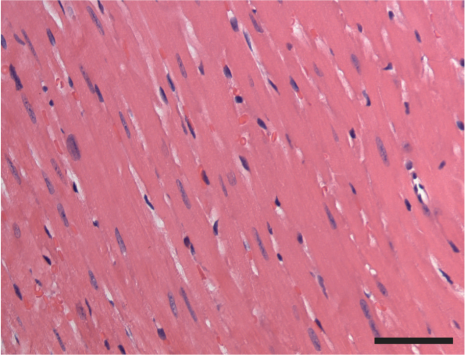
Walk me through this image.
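This is heart muscle cut along its length, with long pink cardiomyocyte fibres running diagonally in parallel. Elongated purple nuclei sit within the fibres, and slimmer dark nuclei lie in the narrow spaces between them. The fibres are evenly stained and tightly packed, with only thin clear gaps and no clusters of small dark cells. It shows orderly myocardium without evident damage or inflammation.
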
